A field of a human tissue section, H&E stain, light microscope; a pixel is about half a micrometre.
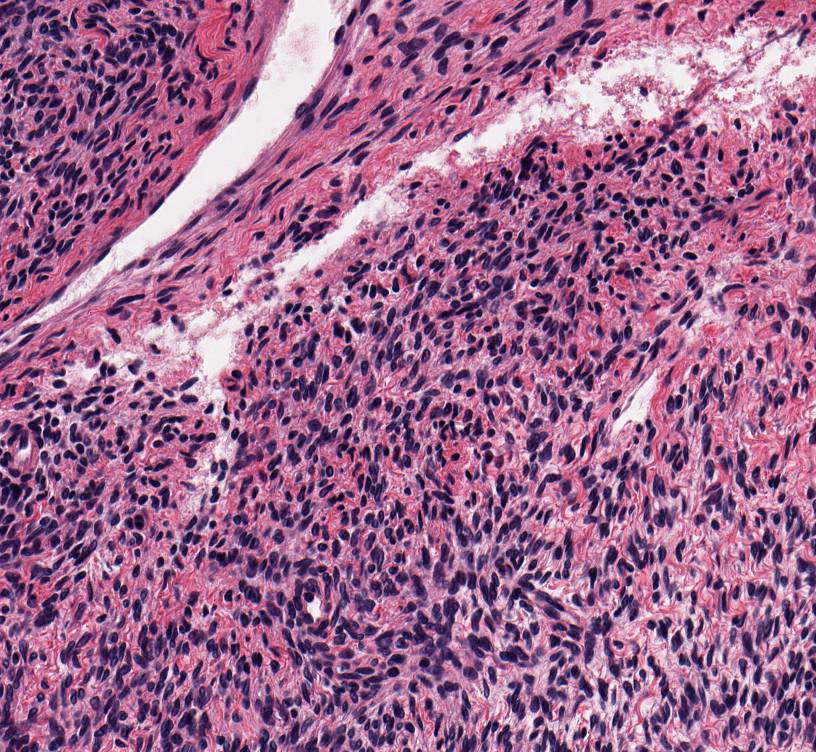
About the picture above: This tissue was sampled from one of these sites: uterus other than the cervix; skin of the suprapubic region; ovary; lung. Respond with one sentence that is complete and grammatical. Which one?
Sampling of this tissue was done from the ovary.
